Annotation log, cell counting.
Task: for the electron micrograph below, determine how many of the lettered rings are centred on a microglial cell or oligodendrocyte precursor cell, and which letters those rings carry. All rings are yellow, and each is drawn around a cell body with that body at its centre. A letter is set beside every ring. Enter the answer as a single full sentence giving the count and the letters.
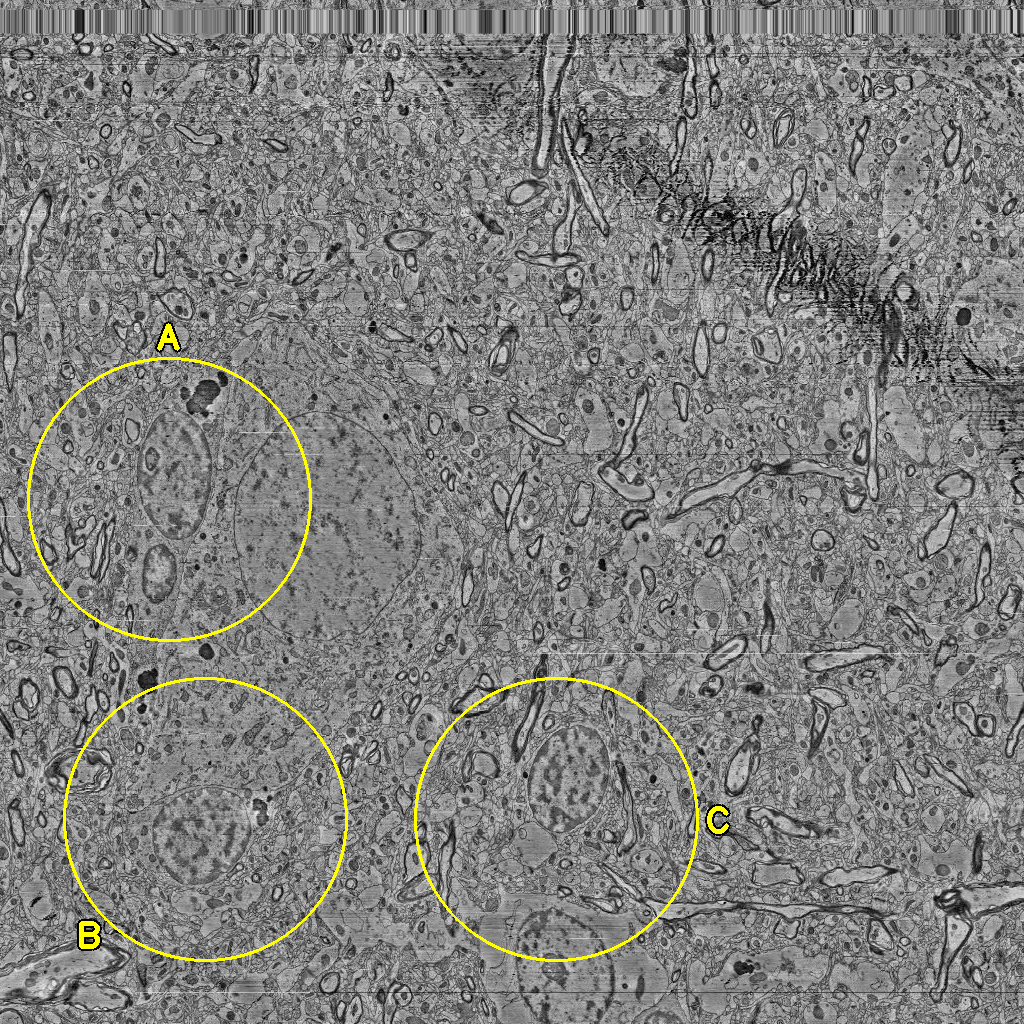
Only one ring is centred on a microglial cell or oligodendrocyte precursor cell, and the letter C names that ring.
